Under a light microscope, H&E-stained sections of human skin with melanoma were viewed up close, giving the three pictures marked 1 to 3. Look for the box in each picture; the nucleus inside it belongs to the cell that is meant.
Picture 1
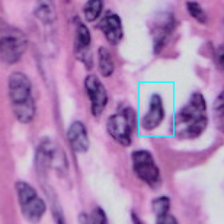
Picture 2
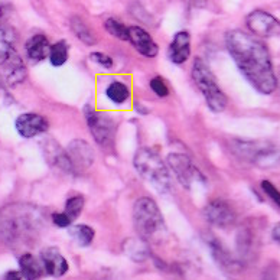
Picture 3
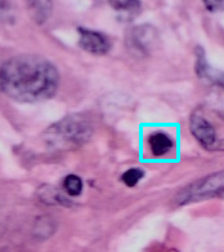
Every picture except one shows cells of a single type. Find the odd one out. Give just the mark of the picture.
3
